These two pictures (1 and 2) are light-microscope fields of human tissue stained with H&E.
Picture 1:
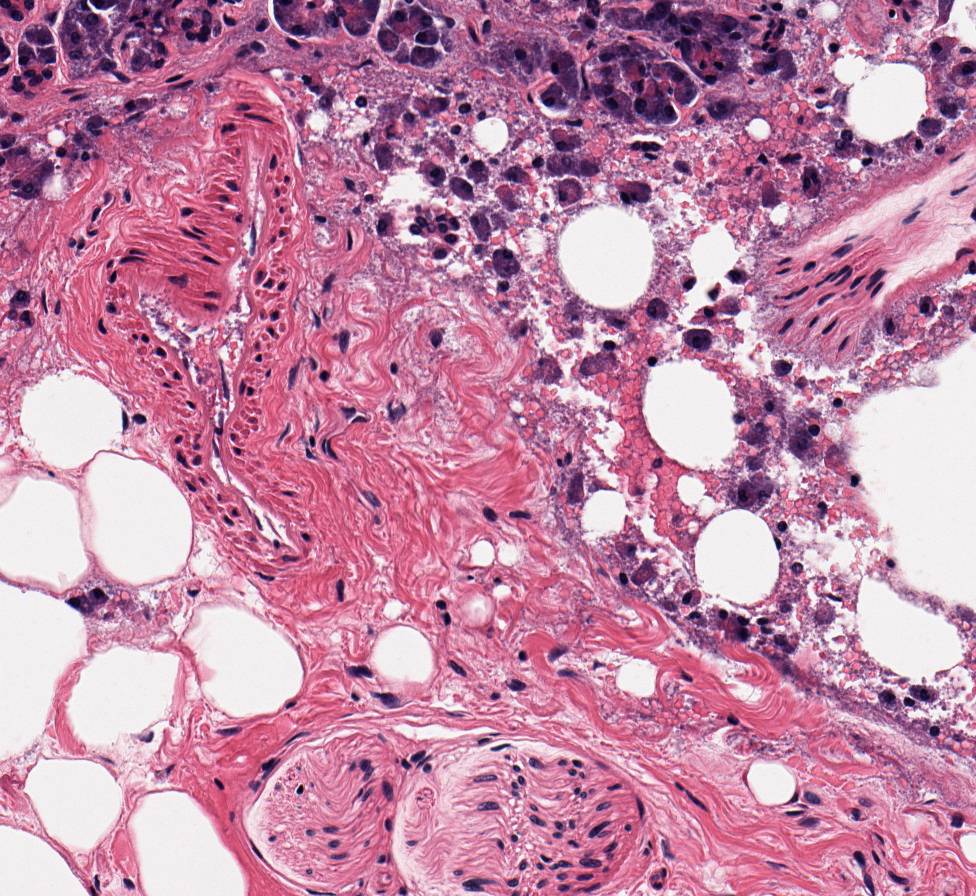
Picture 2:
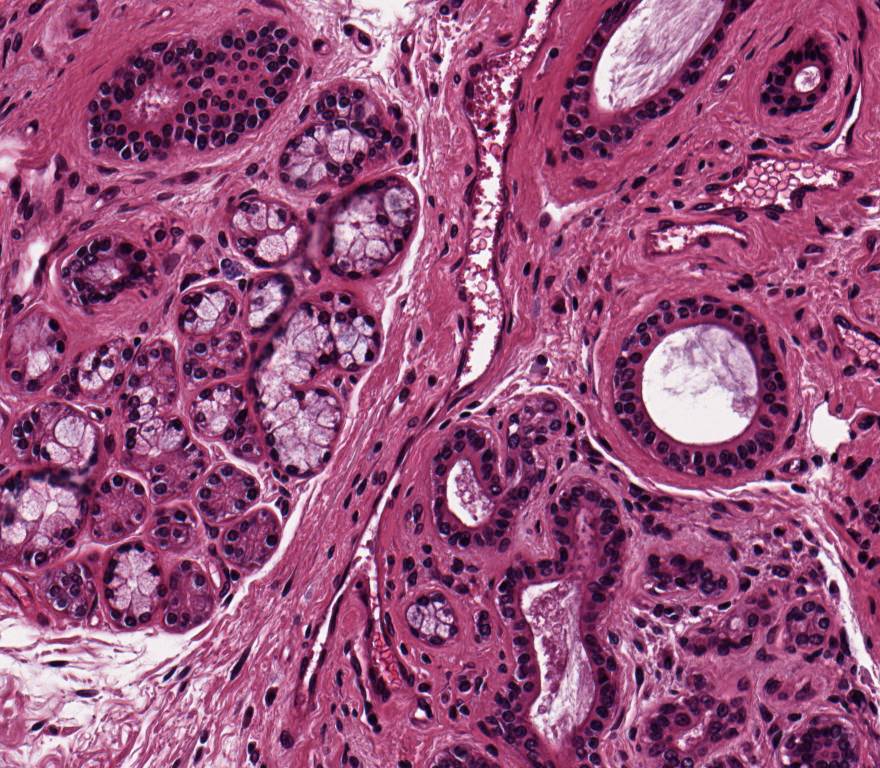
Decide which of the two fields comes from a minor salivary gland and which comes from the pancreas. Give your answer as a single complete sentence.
Picture 1 comes from the pancreas; picture 2 comes from a minor salivary gland.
